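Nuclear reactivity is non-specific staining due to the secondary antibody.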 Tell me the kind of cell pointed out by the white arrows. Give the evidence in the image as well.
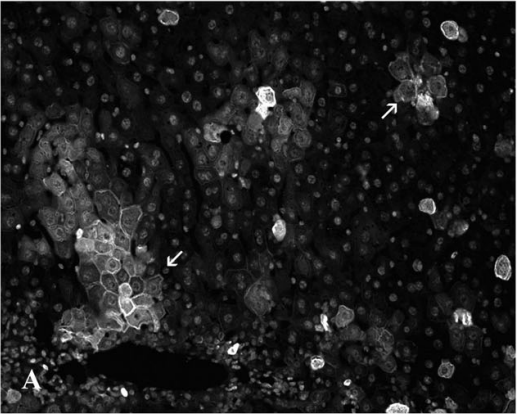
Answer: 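The arrows point to groups of large polygonal cells with bright outlines. The cells have round, centrally placed nuclei. The cells lie in clusters within a field of many scattered nuclei. That points to this answer: hepatocytes.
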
